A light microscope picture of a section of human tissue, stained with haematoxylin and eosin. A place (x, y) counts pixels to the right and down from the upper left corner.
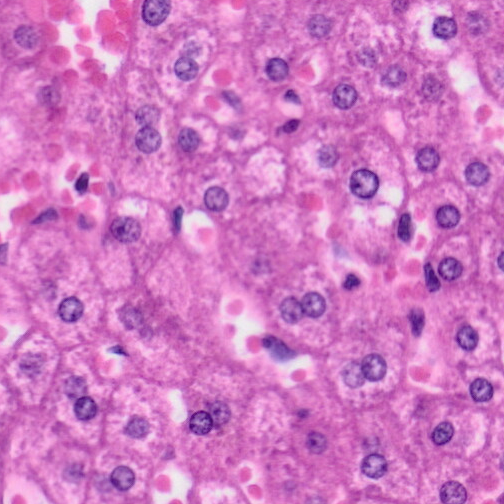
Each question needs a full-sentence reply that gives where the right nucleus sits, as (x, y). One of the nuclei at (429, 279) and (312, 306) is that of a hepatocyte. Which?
The nucleus that sits at (312, 306) is the nucleus of a hepatocyte.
